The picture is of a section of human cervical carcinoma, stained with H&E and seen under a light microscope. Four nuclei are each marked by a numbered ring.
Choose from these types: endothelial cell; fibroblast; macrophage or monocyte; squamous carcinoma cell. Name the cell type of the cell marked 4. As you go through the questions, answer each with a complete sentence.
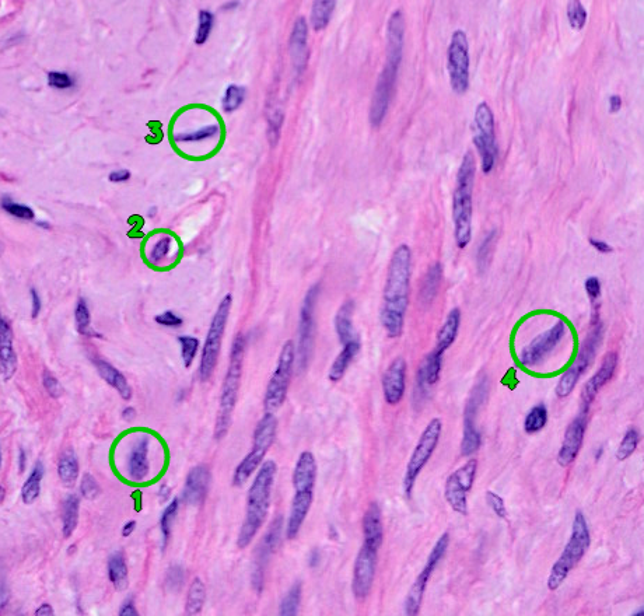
It is as a fibroblast that the cell numbered 4 is identified.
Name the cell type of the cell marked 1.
The cell assigned the number 1 is a fibroblast.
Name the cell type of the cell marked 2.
Cell 2 in the field of view is an endothelial cell.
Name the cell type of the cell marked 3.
Cell 3 in the field is a fibroblast.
